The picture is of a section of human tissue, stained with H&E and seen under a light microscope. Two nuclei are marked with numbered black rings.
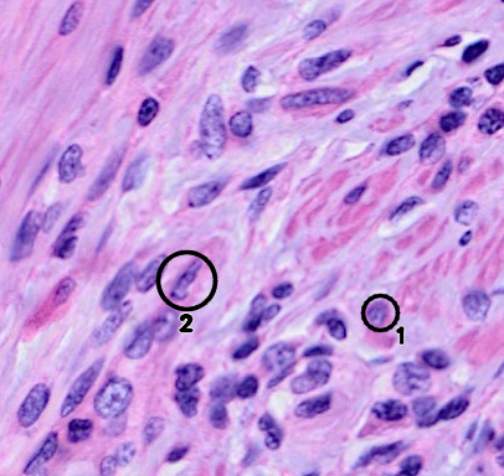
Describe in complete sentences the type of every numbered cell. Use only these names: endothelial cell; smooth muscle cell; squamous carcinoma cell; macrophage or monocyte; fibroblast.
Cell 1 is a smooth muscle cell. Cell 2 is an endothelial cell.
